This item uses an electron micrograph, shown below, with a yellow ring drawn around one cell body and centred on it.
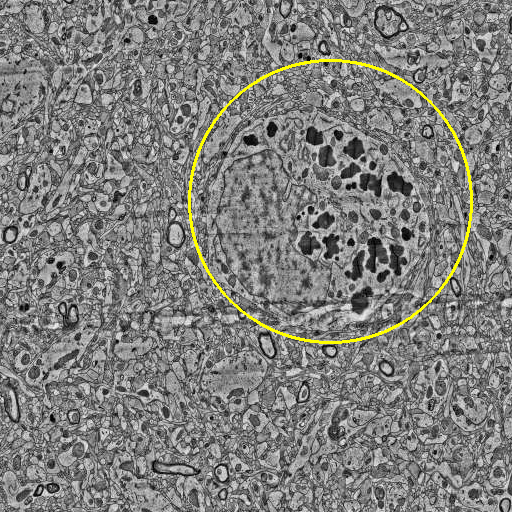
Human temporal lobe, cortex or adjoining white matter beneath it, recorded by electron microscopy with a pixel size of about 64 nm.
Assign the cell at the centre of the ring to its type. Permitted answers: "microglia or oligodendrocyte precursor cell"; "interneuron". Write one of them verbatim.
interneuron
